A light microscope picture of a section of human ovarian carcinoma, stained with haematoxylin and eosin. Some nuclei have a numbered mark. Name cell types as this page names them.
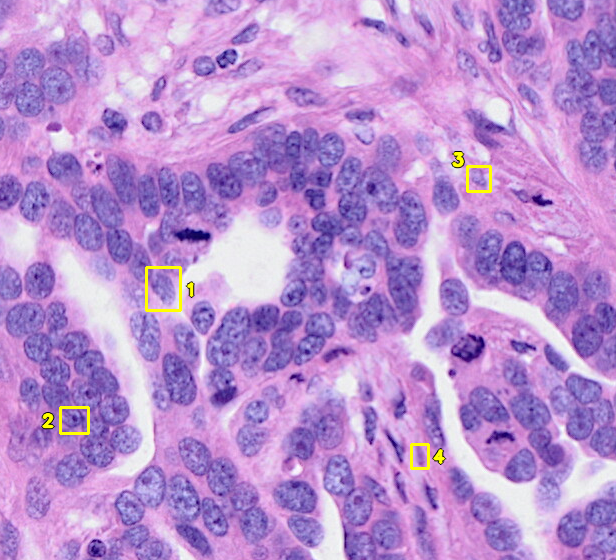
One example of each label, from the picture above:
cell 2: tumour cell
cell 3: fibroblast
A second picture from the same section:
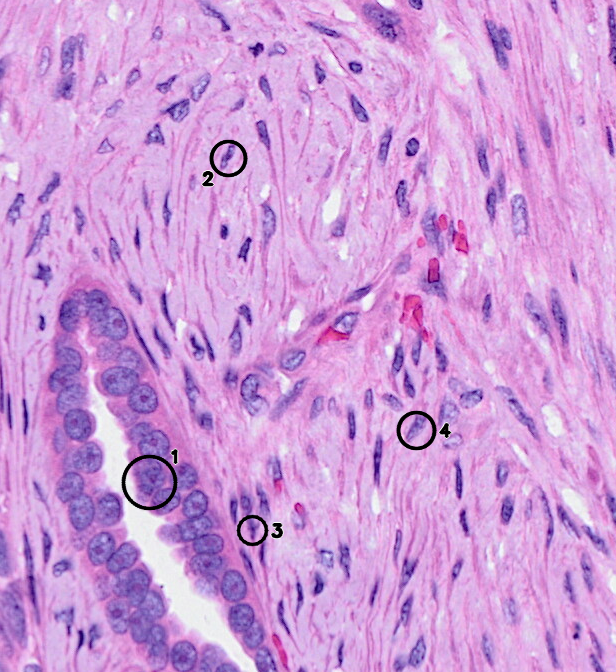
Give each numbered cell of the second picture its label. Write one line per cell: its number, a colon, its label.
1: tumour cell
2: fibroblast
3: fibroblast
4: fibroblast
